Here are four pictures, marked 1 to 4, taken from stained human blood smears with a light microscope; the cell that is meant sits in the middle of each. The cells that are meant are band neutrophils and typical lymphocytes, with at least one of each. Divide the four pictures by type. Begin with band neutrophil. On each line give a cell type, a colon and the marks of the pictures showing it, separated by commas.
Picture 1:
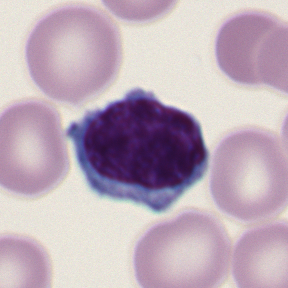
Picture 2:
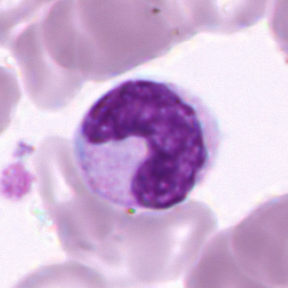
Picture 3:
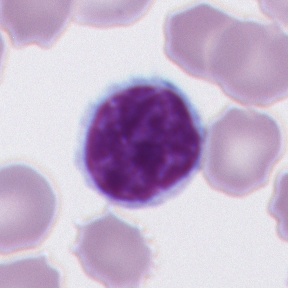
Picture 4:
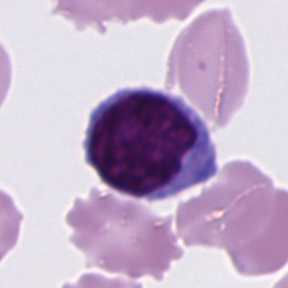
band neutrophil: 2
typical lymphocyte: 1, 3, 4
